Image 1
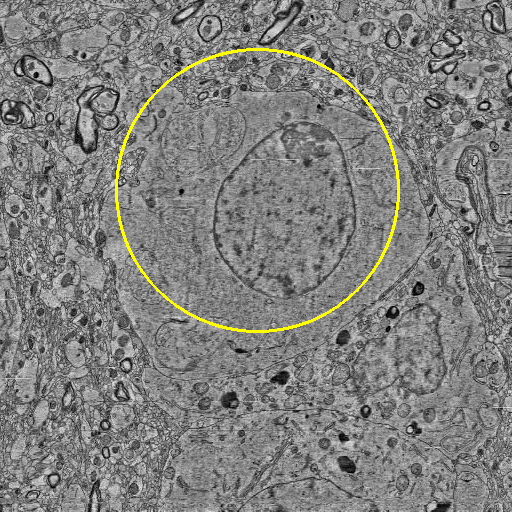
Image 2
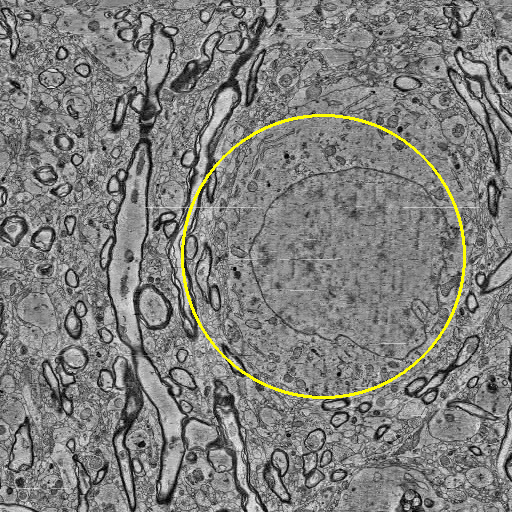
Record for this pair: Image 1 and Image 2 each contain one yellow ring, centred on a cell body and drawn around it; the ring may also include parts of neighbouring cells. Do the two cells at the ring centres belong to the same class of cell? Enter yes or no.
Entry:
no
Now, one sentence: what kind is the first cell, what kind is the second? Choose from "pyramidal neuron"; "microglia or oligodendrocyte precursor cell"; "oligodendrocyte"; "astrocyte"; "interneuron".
The first picture has an astrocyte at its ring centre, and the second has a pyramidal neuron.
